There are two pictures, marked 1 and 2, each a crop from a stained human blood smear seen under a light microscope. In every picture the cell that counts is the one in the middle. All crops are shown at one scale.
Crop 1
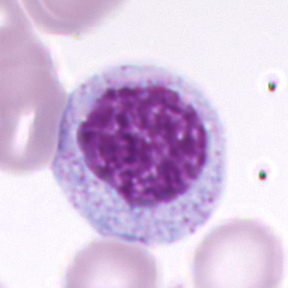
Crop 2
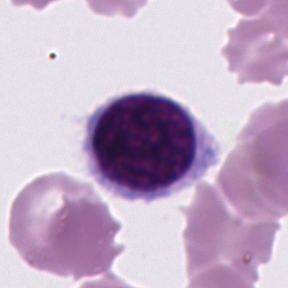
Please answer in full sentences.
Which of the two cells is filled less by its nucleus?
Of the two, the nucleus in crop 1 leaves more room for cytoplasm.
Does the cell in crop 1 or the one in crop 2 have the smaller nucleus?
It is the nucleus in crop 2; the one in crop 1 has about 1.5 times its area.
